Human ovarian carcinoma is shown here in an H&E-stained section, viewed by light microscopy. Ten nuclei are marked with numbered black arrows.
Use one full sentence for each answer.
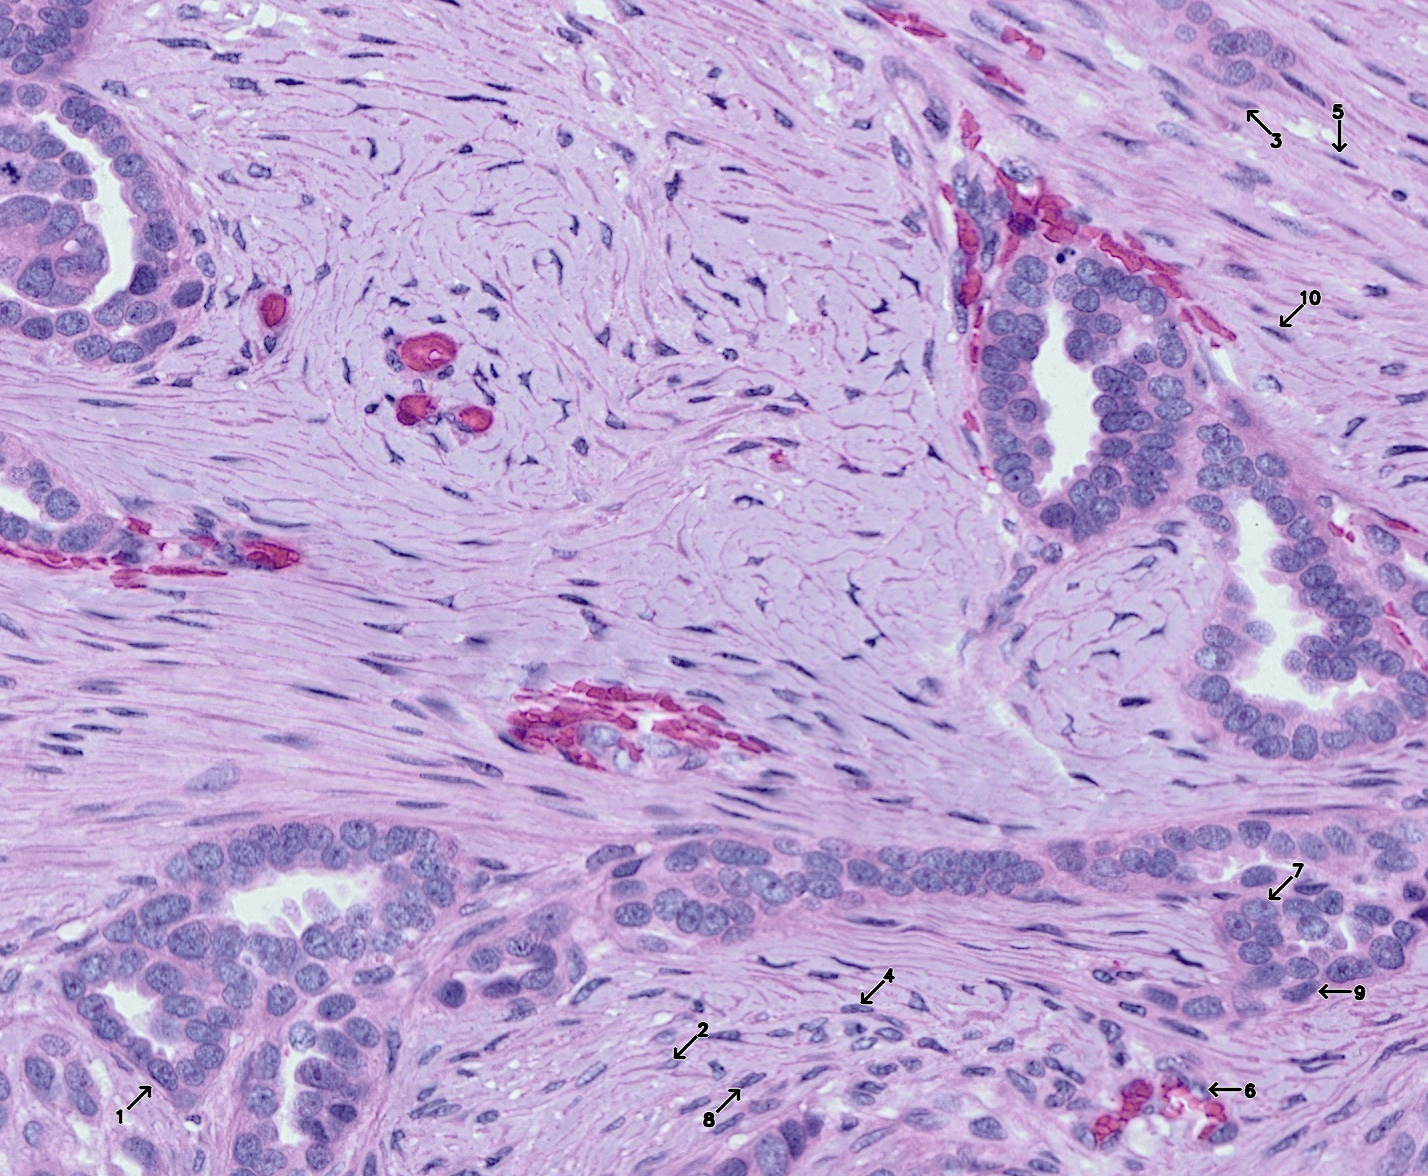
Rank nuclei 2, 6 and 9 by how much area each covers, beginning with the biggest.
From largest to smallest, the order is 9, 6, 2.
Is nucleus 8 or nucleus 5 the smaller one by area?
Nucleus 5 covers less area, with nucleus 8 about 2 times as large.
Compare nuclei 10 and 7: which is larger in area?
Nucleus 7 covers more area, about 4 times as much as nucleus 10.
